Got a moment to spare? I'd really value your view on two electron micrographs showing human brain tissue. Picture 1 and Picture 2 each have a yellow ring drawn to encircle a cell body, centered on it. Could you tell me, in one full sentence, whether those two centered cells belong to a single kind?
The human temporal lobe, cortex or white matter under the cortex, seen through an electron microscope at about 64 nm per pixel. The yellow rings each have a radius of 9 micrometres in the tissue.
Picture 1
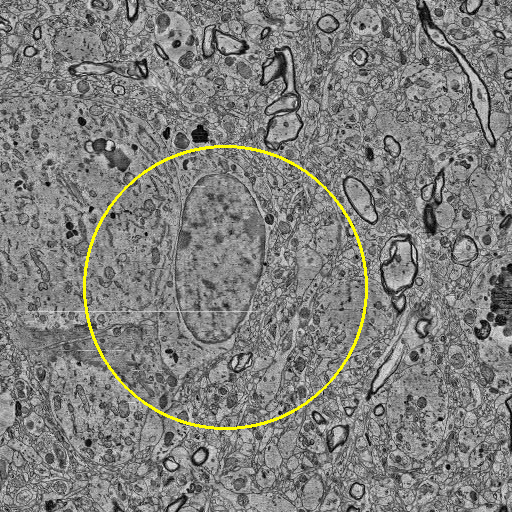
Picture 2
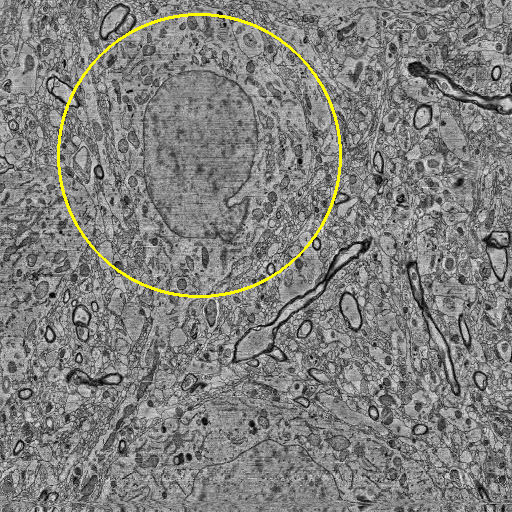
No, the two centered cells in Picture 1 and Picture 2 are of two kinds.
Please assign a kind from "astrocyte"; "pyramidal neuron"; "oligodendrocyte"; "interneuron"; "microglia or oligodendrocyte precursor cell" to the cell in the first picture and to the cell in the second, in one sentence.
In the first picture we have a microglial cell or oligodendrocyte precursor cell, and in the second, an interneuron.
